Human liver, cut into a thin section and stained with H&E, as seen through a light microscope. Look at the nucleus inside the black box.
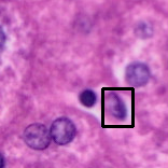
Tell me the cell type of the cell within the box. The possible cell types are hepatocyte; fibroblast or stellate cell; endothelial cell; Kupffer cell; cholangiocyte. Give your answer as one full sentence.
The cell within the box is a Kupffer cell.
